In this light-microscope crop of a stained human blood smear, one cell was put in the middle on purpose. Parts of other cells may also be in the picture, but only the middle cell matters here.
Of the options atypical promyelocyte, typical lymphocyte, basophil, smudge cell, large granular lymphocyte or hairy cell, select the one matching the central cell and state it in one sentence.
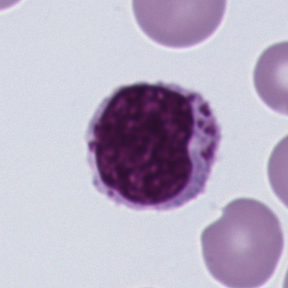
By classification, the middle cell of this crop is a large granular lymphocyte.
